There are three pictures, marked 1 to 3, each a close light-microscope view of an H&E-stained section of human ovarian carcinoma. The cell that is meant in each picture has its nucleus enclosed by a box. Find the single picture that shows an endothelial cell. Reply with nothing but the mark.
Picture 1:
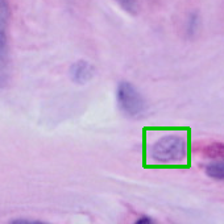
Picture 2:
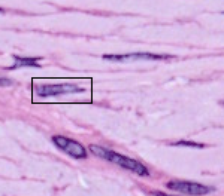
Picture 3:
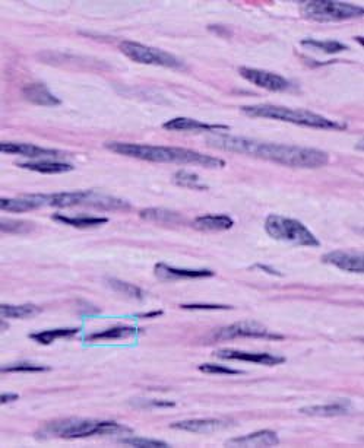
1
